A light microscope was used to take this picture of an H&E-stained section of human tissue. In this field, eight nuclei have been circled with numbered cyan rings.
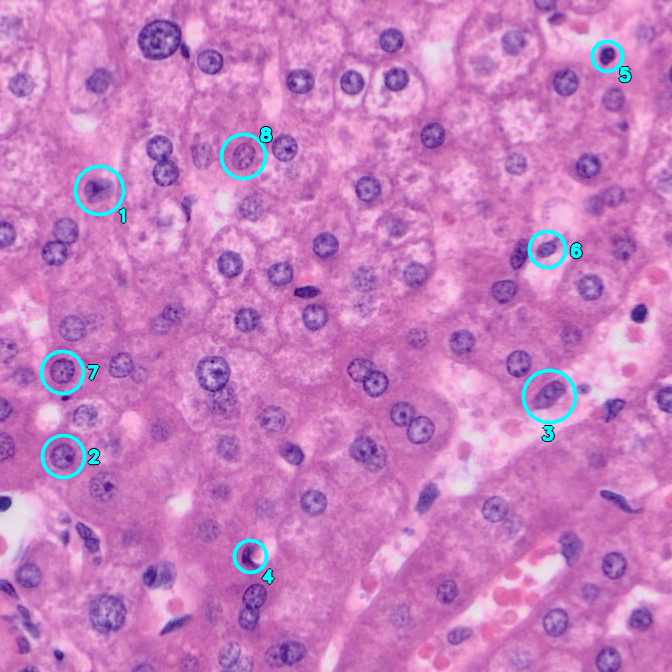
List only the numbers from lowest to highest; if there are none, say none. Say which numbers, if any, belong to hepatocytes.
2, 7, 8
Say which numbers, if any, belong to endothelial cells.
1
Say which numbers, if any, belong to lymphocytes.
5, 6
